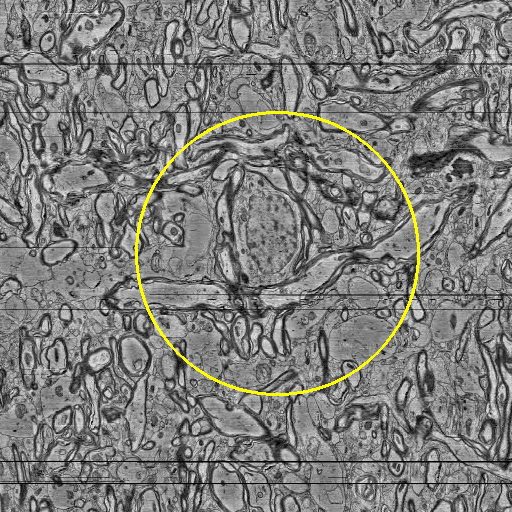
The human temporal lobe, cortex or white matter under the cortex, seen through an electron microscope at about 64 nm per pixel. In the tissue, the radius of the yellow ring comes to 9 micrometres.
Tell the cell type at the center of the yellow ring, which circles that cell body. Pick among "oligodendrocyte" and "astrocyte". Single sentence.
The ring is centered on the body of an astrocyte.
